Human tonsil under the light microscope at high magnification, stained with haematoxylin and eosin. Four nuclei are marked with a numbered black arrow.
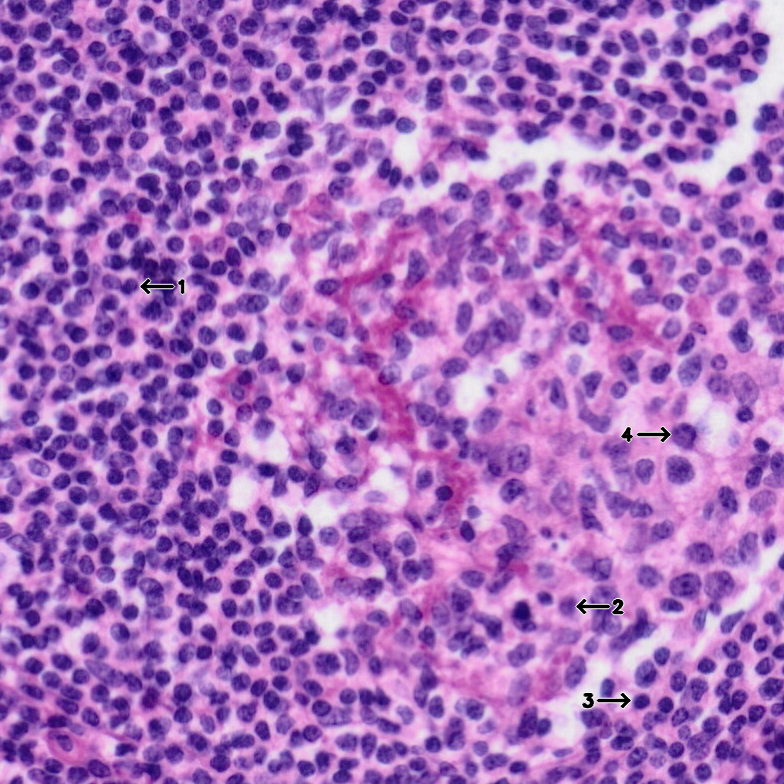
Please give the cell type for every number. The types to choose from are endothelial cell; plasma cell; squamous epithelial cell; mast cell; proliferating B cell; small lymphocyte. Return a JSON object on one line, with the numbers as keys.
{"1": "small lymphocyte", "2": "proliferating B cell", "3": "small lymphocyte", "4": "proliferating B cell"}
